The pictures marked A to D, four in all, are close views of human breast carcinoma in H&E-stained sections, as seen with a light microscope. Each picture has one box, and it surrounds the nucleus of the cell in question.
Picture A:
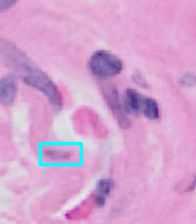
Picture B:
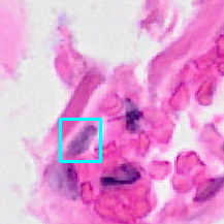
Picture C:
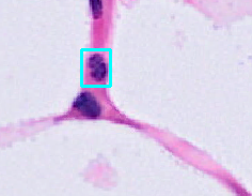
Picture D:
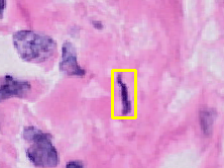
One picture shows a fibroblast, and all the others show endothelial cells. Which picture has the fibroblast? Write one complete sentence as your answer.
Picture D is the one that shows the fibroblast.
